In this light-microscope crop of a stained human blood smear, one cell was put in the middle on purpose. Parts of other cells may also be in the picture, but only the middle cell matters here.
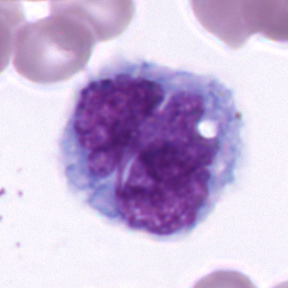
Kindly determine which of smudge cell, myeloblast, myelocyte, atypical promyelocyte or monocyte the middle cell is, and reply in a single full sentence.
The cell at the centre of the field is a monocyte.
